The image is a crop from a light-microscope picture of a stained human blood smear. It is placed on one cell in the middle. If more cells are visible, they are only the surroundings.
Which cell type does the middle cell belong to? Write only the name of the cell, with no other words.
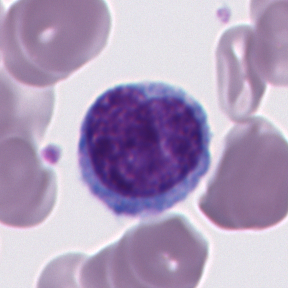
monocyte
